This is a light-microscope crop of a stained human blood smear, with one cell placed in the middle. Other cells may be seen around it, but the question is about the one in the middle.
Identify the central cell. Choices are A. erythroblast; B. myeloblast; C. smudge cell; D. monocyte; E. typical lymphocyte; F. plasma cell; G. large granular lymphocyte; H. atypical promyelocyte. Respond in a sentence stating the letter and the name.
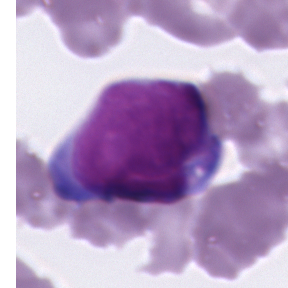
That the central cell is a myeloblast makes option B correct.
